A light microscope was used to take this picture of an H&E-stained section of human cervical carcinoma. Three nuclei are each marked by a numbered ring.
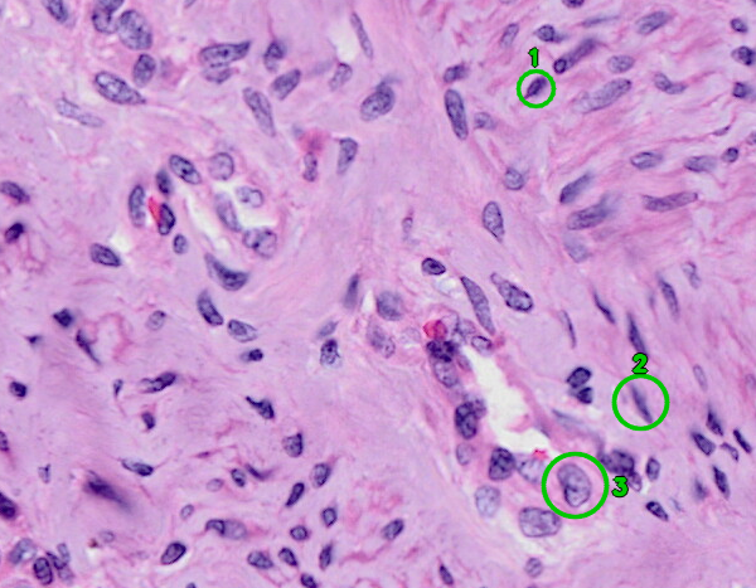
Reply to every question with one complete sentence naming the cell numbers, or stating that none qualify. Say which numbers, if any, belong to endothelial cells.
None but cell 3 among the numbered cells is an endothelial cell.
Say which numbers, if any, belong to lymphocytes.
By cell type, the numbered cells include no lymphocytes.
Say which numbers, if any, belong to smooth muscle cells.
Only number 1 of the marked cells is a smooth muscle cell.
